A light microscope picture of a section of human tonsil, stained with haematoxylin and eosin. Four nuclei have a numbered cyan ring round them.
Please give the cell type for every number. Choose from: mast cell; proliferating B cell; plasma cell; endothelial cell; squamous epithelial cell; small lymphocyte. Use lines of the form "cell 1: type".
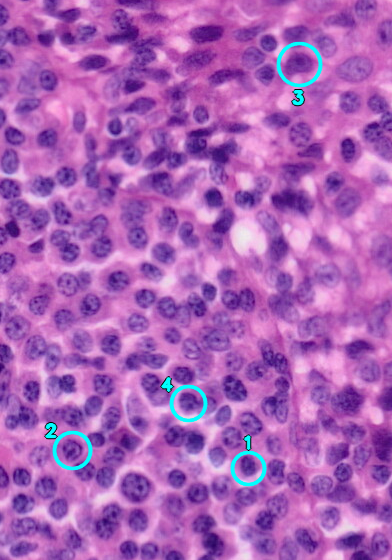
cell 1: plasma cell
cell 2: plasma cell
cell 3: squamous epithelial cell
cell 4: plasma cell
